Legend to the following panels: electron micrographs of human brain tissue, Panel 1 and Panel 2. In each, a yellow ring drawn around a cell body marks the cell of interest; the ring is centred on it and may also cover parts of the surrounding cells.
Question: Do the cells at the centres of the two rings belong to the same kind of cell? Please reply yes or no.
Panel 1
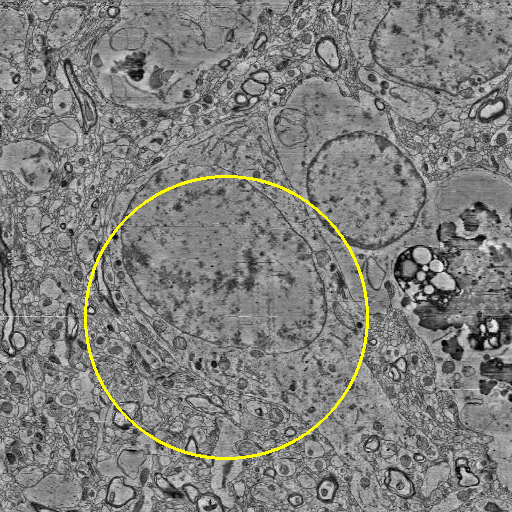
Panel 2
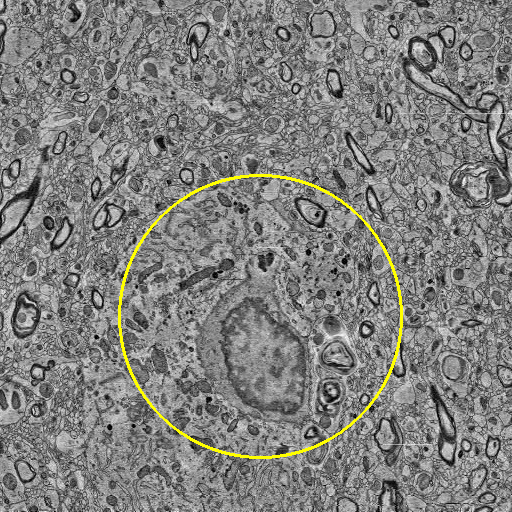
no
